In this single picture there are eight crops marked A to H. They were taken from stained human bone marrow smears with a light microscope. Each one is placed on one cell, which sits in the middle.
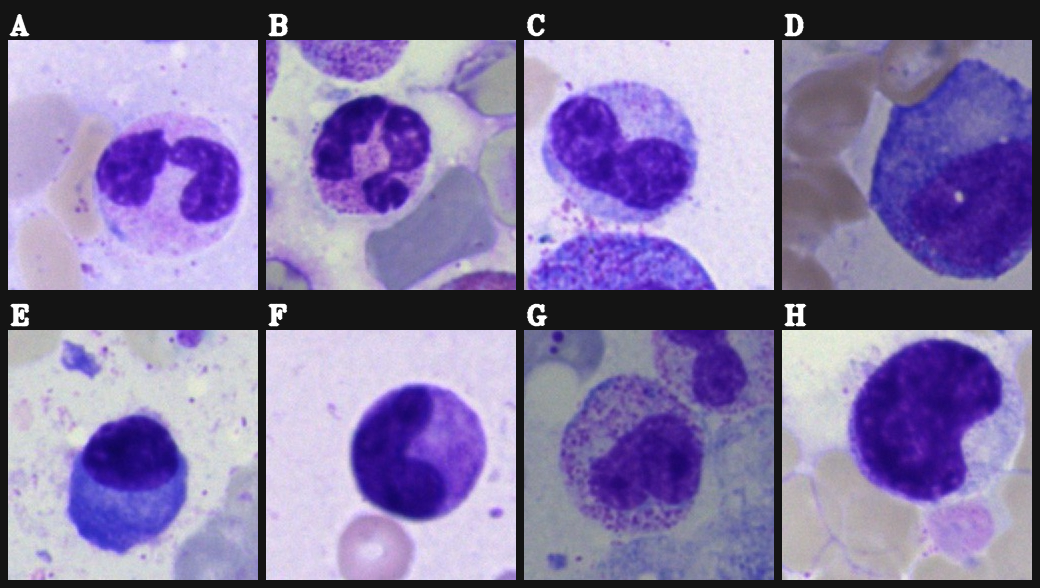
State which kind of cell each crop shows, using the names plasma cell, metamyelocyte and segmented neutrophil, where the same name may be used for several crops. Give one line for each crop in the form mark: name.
A: segmented neutrophil
B: segmented neutrophil
C: metamyelocyte
D: plasma cell
E: plasma cell
F: metamyelocyte
G: metamyelocyte
H: metamyelocyte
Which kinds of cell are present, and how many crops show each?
metamyelocyte: 4
segmented neutrophil: 2
plasma cell: 2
